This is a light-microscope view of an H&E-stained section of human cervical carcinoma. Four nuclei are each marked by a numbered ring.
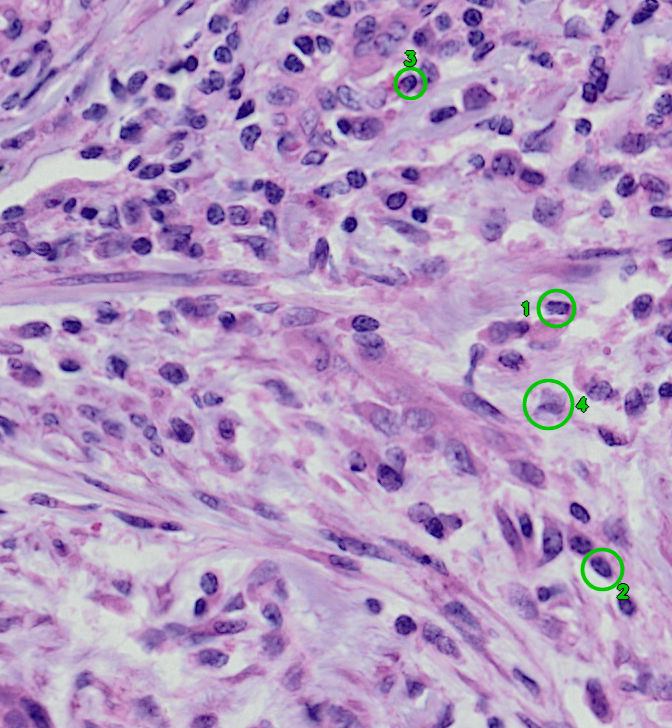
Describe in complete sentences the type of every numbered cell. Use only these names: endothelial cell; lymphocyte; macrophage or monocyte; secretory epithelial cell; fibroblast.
Cell 1 is a lymphocyte, cell 2 is a lymphocyte, cell 3 is a lymphocyte and cell 4 is a fibroblast.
